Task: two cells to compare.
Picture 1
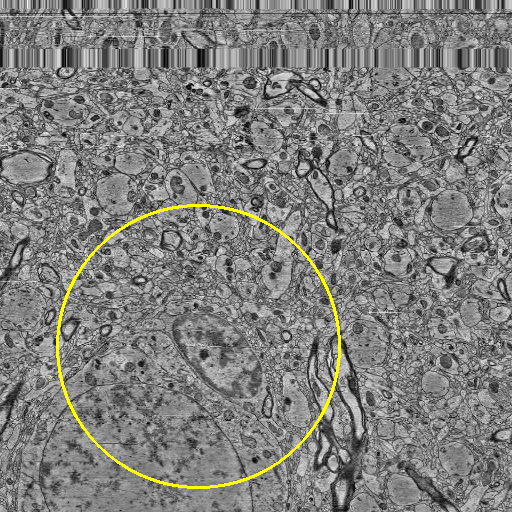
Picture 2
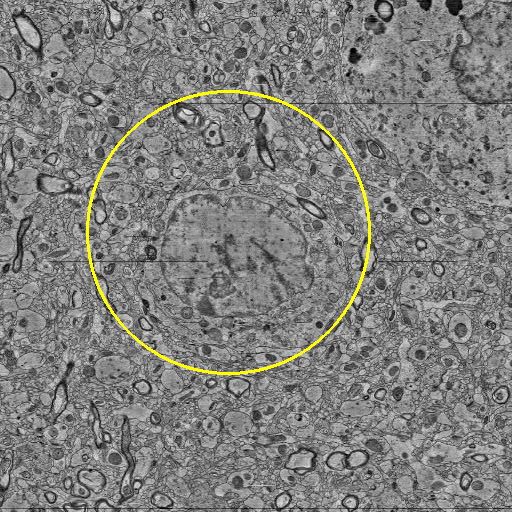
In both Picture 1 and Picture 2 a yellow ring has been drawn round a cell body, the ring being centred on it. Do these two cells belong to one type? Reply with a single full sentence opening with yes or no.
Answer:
No, the two cells at the ring centres in Picture 1 and Picture 2 are of two types.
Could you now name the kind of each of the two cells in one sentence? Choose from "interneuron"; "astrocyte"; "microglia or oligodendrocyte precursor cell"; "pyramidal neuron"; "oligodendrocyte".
The first ring encloses an oligodendrocyte; the second ring encloses an interneuron.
